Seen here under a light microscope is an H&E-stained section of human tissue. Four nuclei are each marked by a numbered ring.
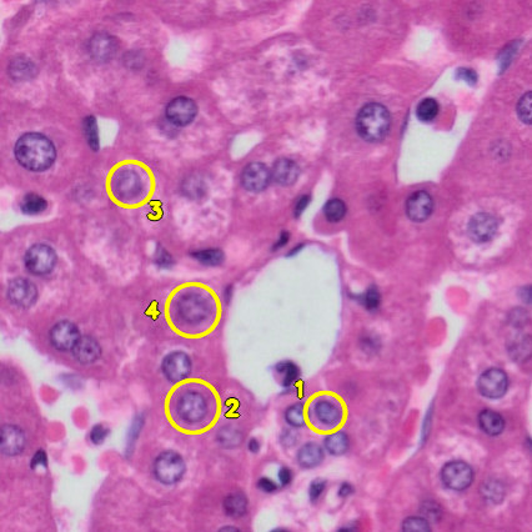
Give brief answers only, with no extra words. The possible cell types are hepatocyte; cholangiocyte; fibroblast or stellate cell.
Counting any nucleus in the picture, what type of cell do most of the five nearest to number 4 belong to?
fibroblast or stellate cell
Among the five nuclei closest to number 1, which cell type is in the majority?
cholangiocyte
